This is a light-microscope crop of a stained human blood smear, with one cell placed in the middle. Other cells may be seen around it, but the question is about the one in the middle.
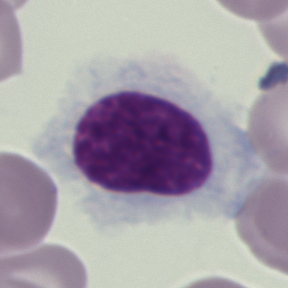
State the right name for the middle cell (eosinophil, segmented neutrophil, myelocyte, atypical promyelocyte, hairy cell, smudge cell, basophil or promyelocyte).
hairy cell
